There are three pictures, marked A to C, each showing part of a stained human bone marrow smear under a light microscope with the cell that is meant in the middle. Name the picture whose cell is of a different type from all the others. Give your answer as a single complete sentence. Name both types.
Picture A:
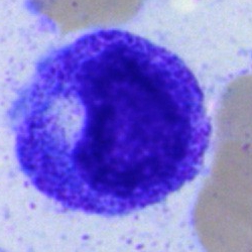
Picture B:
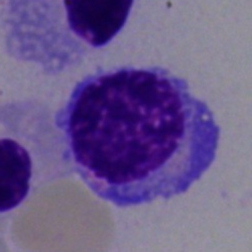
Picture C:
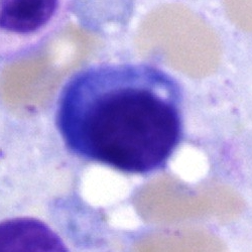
The others show plasma cells, but picture A shows a promyelocyte.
